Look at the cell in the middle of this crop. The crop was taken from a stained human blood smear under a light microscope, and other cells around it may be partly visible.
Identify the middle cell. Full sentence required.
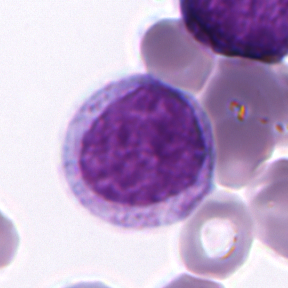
In the center of this field lies a myelocyte.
